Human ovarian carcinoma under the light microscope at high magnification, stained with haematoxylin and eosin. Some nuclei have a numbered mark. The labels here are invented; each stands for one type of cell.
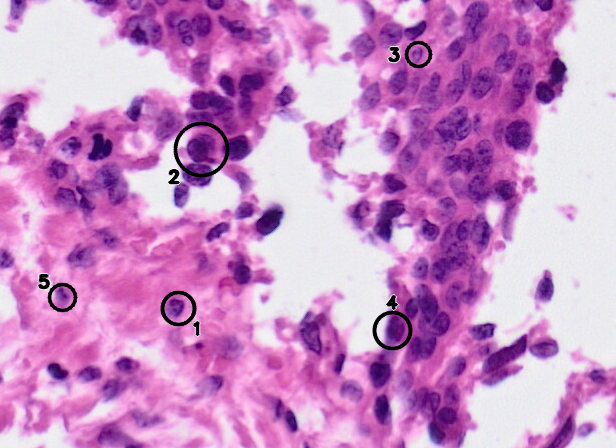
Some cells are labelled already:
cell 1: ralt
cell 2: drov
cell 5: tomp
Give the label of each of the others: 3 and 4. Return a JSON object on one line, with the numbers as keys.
{"3": "ralt", "4": "drov"}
